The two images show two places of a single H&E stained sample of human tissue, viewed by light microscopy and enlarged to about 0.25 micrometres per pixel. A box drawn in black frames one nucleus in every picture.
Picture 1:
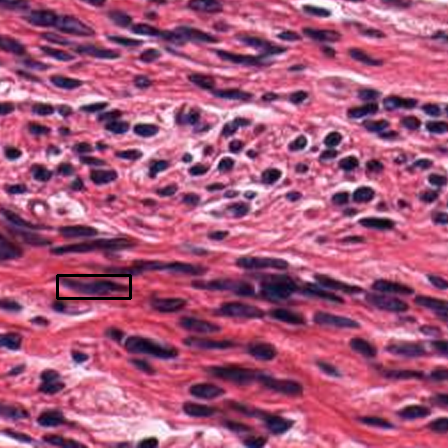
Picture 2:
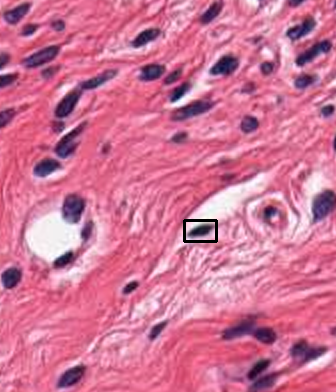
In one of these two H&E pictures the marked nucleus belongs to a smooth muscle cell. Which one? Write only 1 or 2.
1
